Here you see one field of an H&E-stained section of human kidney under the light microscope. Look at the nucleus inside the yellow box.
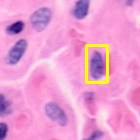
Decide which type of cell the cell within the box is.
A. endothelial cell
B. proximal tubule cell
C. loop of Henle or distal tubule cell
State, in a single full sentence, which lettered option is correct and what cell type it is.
Option A is the right choice, for the cell within the box is an endothelial cell.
